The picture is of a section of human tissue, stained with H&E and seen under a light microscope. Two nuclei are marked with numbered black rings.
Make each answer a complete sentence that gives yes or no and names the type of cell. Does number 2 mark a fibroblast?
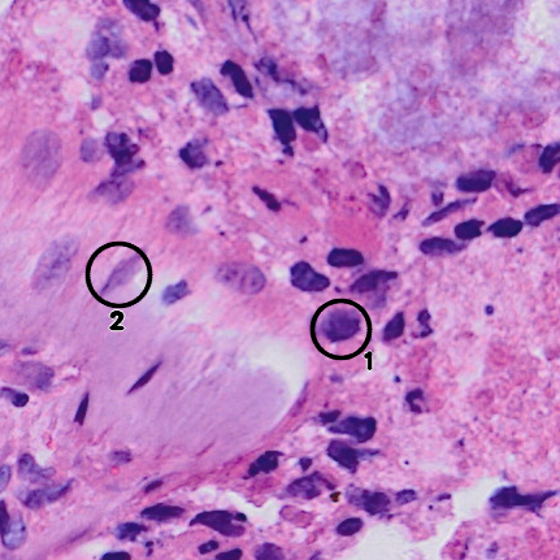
Yes, the cell identified as number 2 is a fibroblast.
